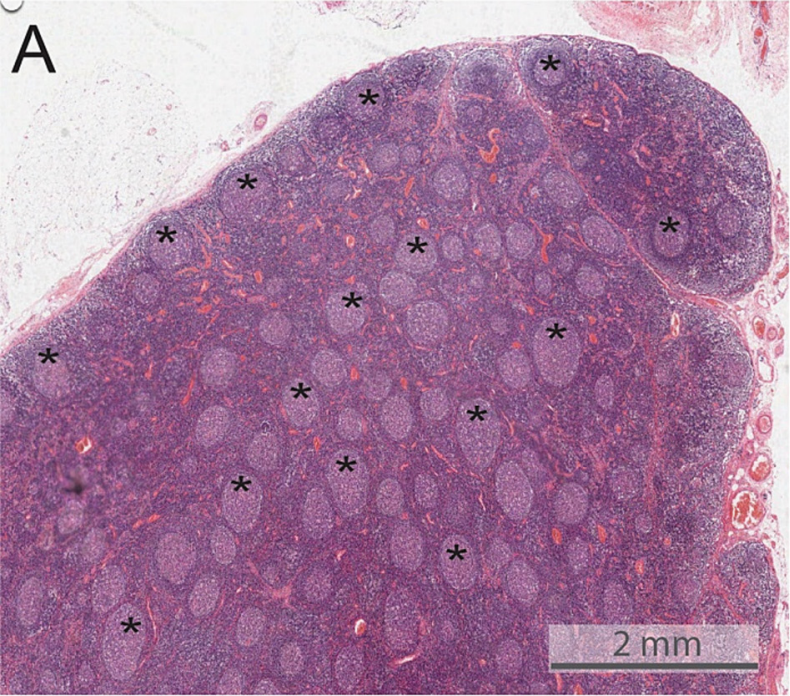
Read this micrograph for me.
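This is a lymph node stained with hematoxylin and eosin, seen at low power, crowded with germinal centers. A thin pink capsule bounds the node, with loose pale fat and vessels outside it. Inside, dense dark purple lymphoid tissue holds numerous pale, round to oval germinal centers of varying size, each encircled by a darker rim of tightly packed small lymphocytes. The germinal centers lie not only beneath the capsule but throughout the depth of the node. Between them run small red-filled blood vessels and thin pink strands of connective tissue.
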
